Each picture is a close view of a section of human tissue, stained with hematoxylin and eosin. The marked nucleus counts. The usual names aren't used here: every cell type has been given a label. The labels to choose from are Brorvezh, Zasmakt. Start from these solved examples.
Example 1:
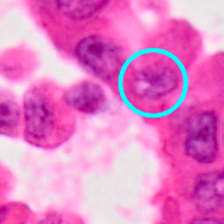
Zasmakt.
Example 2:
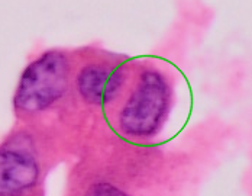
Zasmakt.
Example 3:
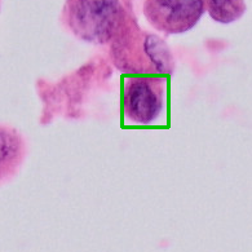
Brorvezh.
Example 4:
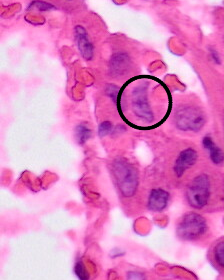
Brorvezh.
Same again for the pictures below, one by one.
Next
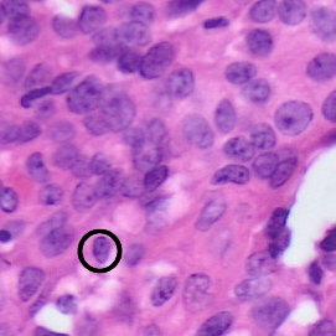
Brorvezh.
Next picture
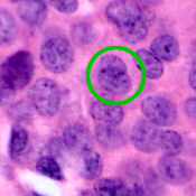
Zasmakt.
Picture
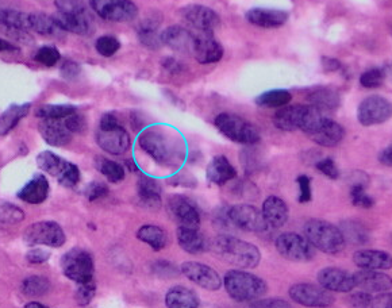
Zasmakt.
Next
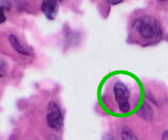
Brorvezh.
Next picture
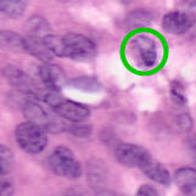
Brorvezh.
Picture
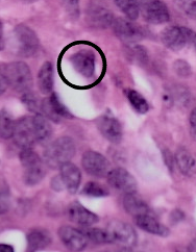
Brorvezh.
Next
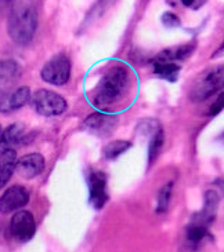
Zasmakt.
